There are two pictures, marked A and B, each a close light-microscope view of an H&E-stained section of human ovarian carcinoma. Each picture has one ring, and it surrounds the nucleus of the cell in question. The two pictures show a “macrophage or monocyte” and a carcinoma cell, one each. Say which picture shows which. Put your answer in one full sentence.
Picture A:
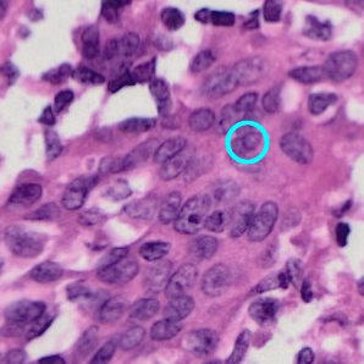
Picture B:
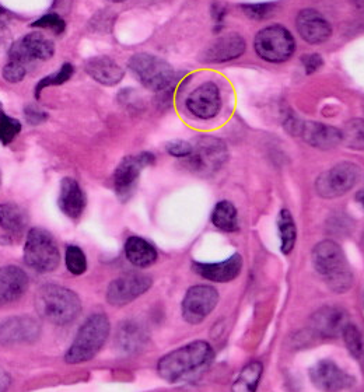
Picture B shows a “macrophage or monocyte”, while picture A shows a carcinoma cell.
